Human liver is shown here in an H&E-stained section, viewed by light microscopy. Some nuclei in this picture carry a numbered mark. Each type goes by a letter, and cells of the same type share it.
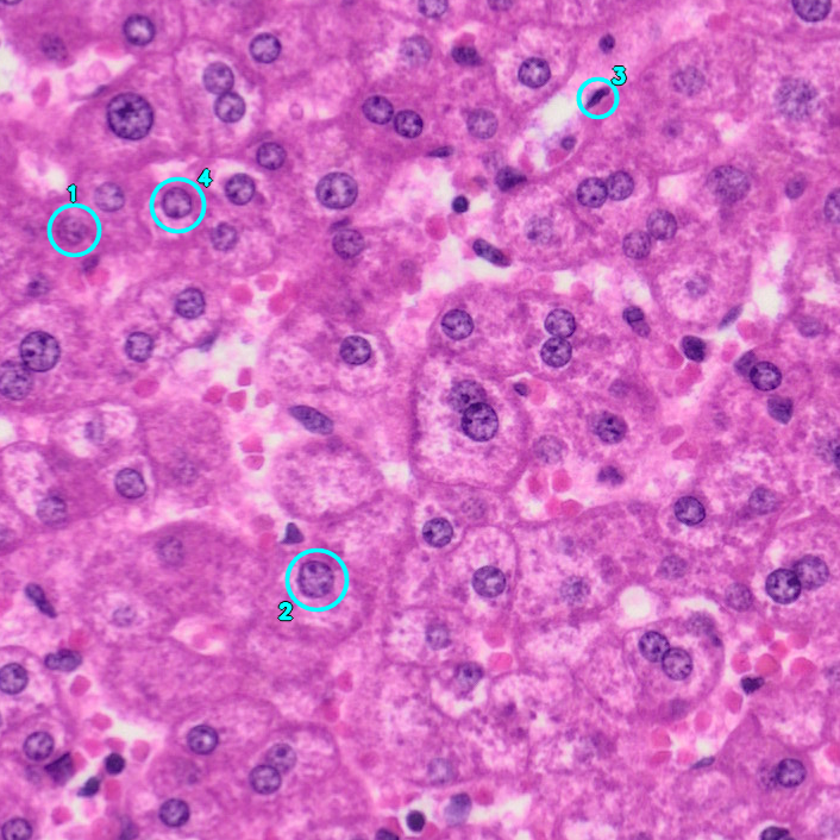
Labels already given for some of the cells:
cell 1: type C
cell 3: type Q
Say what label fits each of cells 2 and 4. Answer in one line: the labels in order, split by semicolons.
type C; type C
